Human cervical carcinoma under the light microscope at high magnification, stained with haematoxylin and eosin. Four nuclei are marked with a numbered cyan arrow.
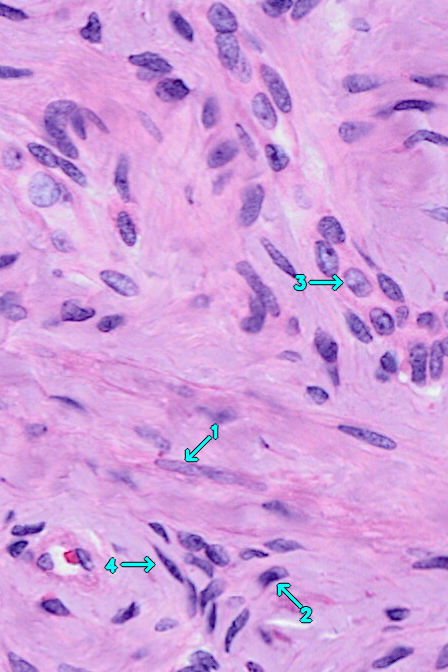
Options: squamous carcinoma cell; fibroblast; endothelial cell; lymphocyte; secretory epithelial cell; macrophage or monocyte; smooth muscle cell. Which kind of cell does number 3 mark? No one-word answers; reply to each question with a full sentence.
Number 3 is placed on an endothelial cell here.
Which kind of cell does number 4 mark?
Regarding cell 4, this one is a fibroblast.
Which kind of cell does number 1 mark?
The marked cell bearing number 1 is a smooth muscle cell.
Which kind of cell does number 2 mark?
The numeral 2 marks a fibroblast in this section.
